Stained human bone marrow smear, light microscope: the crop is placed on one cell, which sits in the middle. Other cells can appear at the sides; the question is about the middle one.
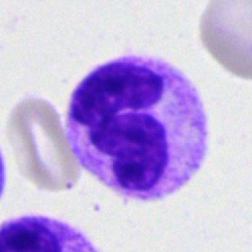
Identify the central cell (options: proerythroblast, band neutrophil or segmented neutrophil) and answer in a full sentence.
The single cell at the center of the crop is a segmented neutrophil.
